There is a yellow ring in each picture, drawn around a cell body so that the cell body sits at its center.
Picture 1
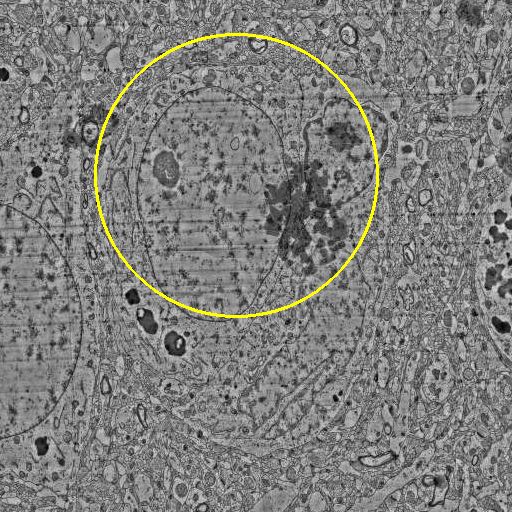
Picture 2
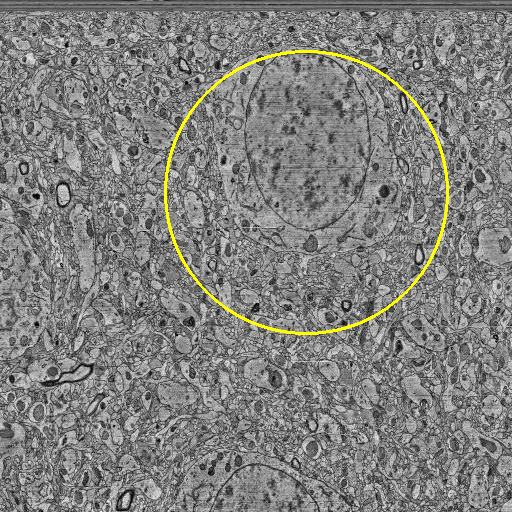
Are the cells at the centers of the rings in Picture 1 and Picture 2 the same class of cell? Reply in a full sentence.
Yes, the two cells are the same class of cell.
